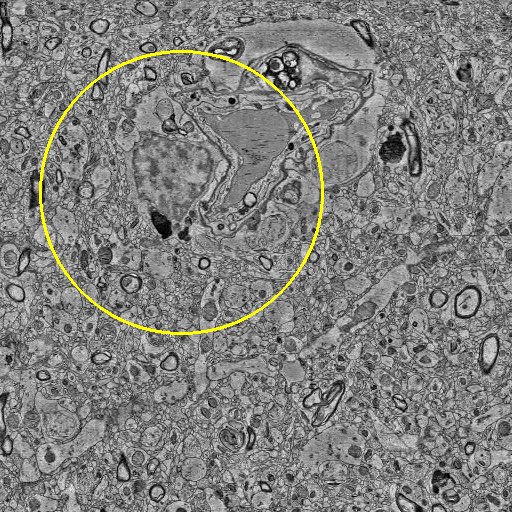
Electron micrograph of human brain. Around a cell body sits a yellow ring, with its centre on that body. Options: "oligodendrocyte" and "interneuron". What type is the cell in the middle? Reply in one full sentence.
The cell sitting at the centre of the yellow ring is an oligodendrocyte.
